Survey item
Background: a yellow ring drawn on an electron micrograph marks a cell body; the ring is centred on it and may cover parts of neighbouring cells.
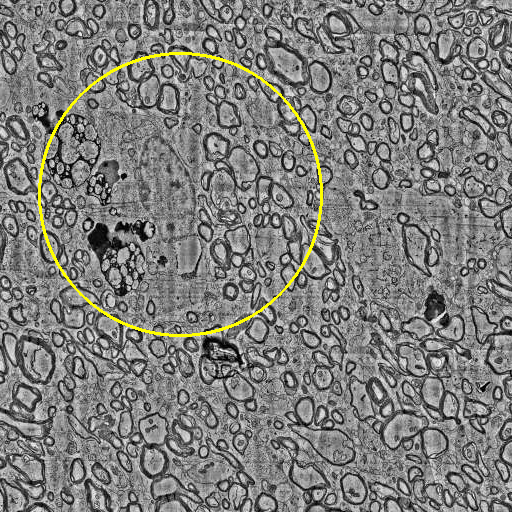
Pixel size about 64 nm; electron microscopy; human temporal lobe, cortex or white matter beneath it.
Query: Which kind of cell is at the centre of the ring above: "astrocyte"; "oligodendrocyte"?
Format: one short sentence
The cell in the middle of the ring is an astrocyte.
